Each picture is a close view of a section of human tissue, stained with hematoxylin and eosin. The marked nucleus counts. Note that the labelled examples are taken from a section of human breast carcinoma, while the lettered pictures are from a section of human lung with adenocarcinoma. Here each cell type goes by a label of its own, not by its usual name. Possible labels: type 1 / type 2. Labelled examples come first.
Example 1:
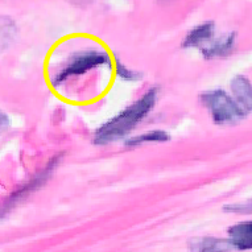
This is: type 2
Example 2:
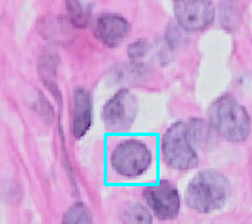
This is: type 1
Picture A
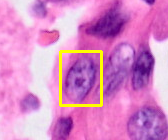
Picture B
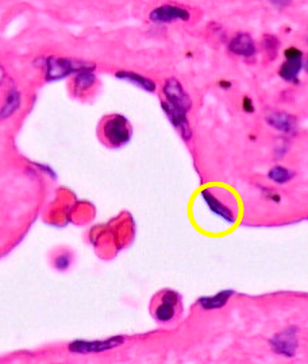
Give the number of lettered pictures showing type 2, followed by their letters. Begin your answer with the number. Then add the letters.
Count: 1 (B)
